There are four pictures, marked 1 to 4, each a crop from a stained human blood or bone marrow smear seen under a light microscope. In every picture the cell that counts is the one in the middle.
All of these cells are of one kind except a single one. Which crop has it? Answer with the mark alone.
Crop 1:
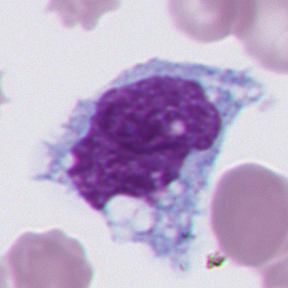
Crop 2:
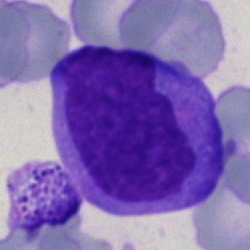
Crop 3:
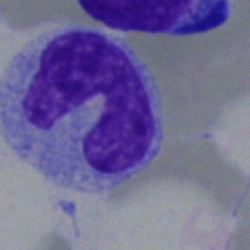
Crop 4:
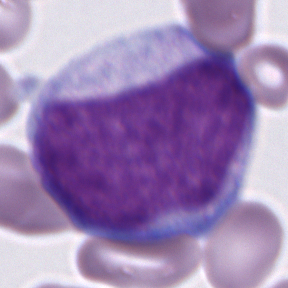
4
